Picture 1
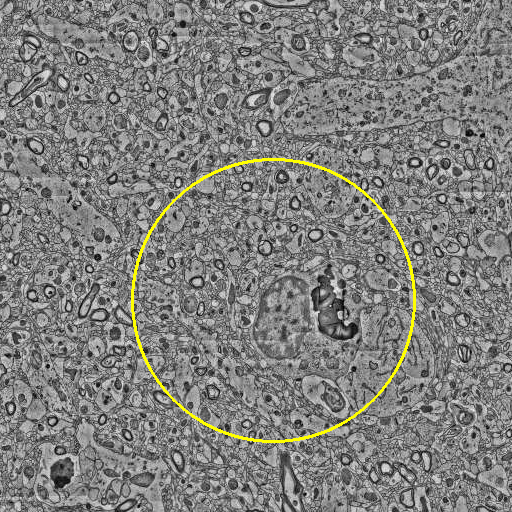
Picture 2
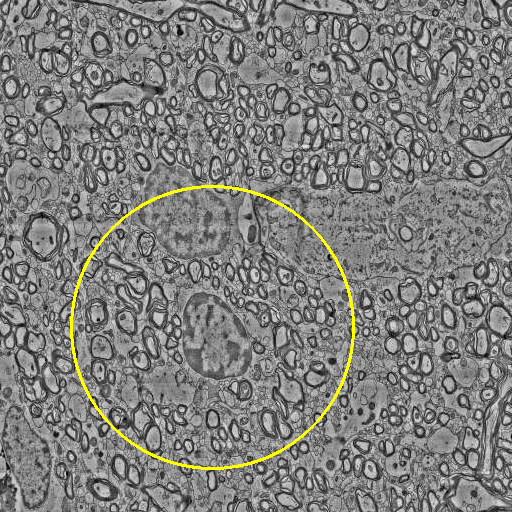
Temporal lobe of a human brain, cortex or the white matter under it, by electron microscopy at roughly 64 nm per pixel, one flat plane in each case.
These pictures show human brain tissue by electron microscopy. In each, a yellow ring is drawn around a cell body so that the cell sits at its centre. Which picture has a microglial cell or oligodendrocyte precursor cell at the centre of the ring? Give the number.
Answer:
2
